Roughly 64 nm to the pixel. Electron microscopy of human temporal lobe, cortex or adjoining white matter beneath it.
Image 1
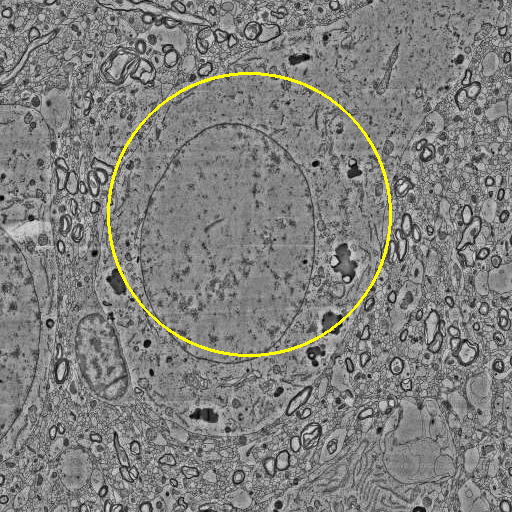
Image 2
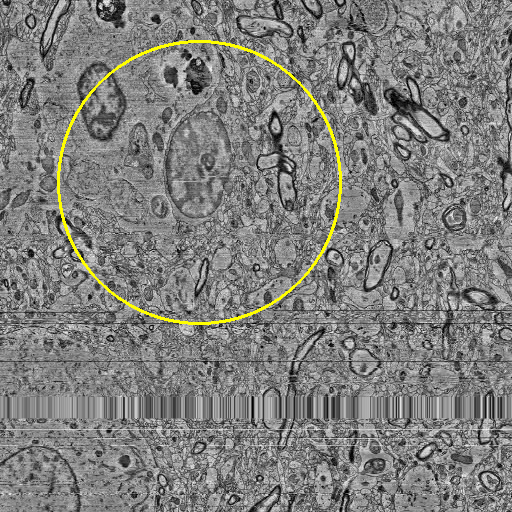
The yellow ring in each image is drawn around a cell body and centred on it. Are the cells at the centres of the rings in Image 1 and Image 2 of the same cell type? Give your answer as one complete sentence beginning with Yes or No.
No, the two cells are of two separate types.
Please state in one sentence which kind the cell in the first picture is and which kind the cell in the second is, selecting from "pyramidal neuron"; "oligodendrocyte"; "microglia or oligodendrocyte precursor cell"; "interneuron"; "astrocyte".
The first ringed cell is a pyramidal neuron, the second ringed cell an oligodendrocyte.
